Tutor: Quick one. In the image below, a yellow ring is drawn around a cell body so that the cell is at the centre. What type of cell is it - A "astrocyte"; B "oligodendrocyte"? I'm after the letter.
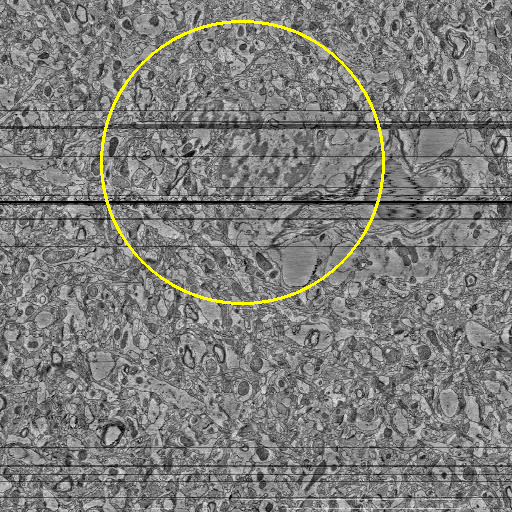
B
